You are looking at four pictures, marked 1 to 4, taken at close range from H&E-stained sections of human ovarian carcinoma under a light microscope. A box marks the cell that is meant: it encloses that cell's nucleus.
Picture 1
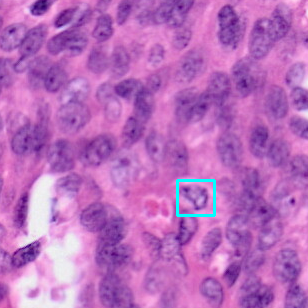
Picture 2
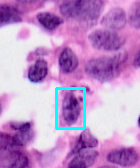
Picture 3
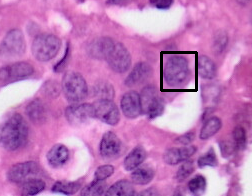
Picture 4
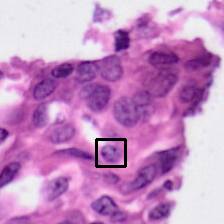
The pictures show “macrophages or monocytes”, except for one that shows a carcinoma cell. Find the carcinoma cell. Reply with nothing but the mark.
3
